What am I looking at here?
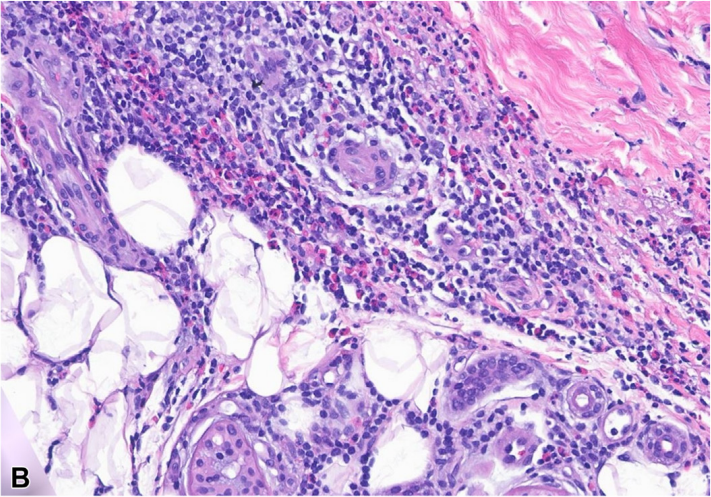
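A dense inflammatory infiltrate fills the deep dermis beside fat and glandular structures. Many of the cells have bright pink-red granular cytoplasm with small dark, lobed nuclei, the look of eosinophils. Among them are small round cells with dark, scant-cytoplasm nuclei, lymphocytes, and larger cells with paler oval nuclei and more cytoplasm, histiocytes. At lower left lie large clear empty spaces of fat cells, and at lower right small tubules lined by cuboidal cells, consistent with sweat gland coils. Pink collagen bundles border the infiltrate at upper right.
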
